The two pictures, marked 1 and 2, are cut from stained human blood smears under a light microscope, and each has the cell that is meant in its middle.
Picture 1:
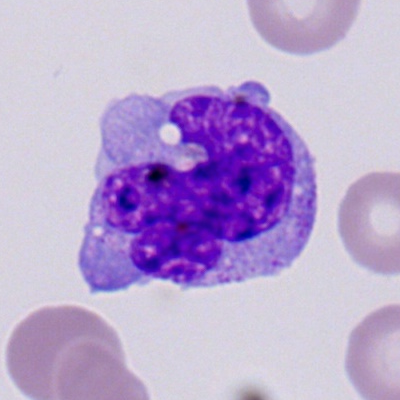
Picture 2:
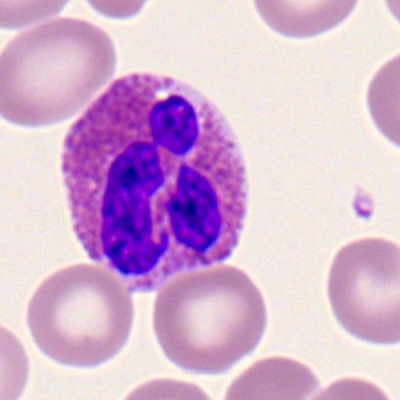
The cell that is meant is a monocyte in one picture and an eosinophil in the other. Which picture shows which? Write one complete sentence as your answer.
In picture 1 the cell is a monocyte; in picture 2, an eosinophil.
